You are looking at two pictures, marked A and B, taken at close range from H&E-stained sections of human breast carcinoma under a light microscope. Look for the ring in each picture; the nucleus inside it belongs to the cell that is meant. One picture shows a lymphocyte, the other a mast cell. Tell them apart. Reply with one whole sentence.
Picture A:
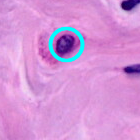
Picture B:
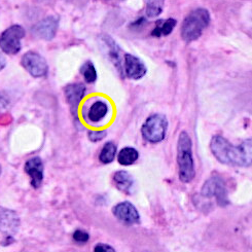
Picture B shows a lymphocyte, while picture A shows a mast cell.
